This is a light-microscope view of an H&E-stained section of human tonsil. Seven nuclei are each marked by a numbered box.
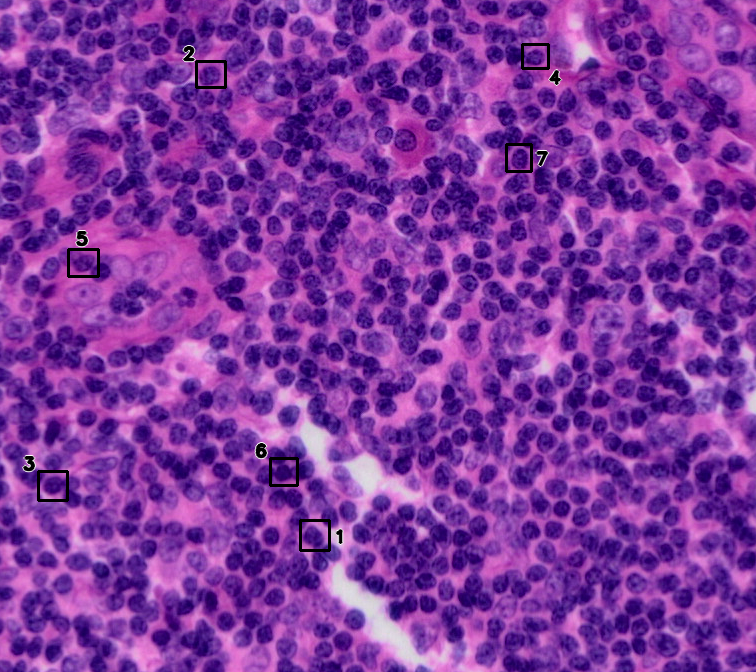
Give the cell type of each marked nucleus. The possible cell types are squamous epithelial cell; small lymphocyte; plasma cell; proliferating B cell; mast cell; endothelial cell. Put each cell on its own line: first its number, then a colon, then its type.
1: small lymphocyte
2: plasma cell
3: small lymphocyte
4: endothelial cell
5: endothelial cell
6: small lymphocyte
7: small lymphocyte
